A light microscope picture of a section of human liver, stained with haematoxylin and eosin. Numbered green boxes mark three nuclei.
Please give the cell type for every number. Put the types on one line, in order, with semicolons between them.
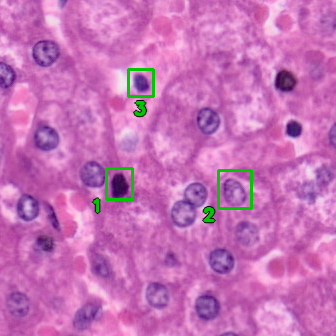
fibroblast or stellate cell; hepatocyte; lymphocyte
